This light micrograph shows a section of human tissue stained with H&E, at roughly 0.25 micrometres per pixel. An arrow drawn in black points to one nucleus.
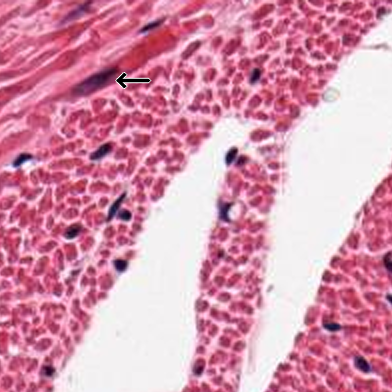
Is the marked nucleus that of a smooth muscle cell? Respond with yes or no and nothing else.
yes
